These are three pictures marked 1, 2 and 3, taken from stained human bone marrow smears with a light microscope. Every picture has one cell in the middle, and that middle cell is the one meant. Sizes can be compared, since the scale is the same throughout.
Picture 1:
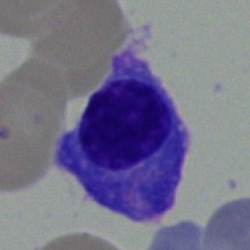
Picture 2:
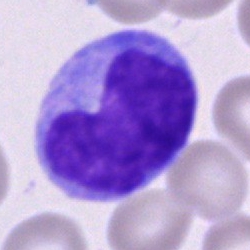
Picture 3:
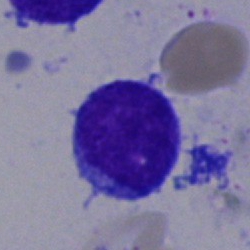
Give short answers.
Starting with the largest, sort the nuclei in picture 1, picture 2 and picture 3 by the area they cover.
2, 3, 1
